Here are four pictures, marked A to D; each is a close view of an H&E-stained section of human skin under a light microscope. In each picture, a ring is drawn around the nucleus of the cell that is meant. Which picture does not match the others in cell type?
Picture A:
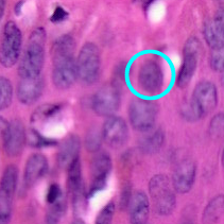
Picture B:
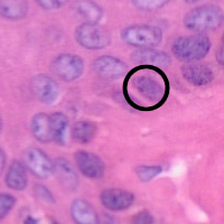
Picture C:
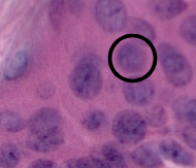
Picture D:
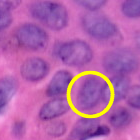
C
